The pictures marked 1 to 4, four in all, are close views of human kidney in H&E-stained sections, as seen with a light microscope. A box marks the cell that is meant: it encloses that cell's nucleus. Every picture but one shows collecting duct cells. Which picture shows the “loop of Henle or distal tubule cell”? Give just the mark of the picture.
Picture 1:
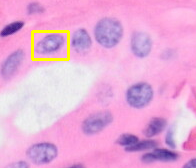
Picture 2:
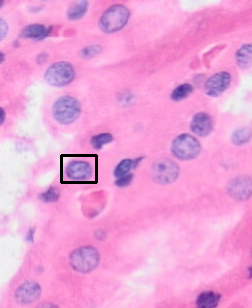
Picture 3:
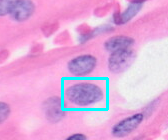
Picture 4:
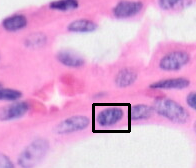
2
